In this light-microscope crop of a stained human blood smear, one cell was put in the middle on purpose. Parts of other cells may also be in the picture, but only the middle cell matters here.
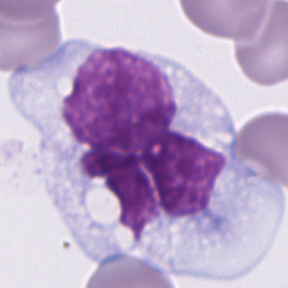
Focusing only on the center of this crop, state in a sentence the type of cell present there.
The cell at the middle of the crop is recognized as a monocyte.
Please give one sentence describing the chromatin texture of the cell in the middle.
The chromatin is fine throughout, without coarse clumps.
